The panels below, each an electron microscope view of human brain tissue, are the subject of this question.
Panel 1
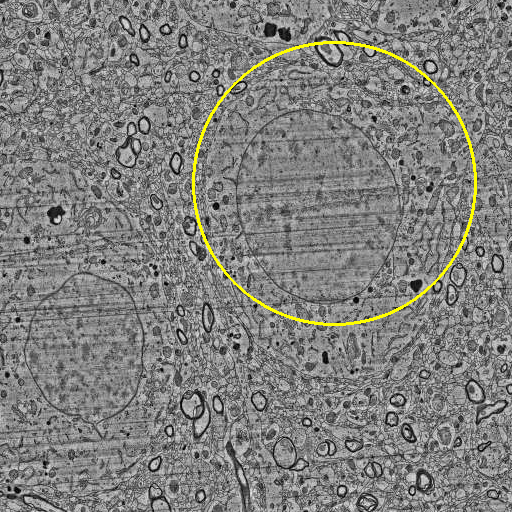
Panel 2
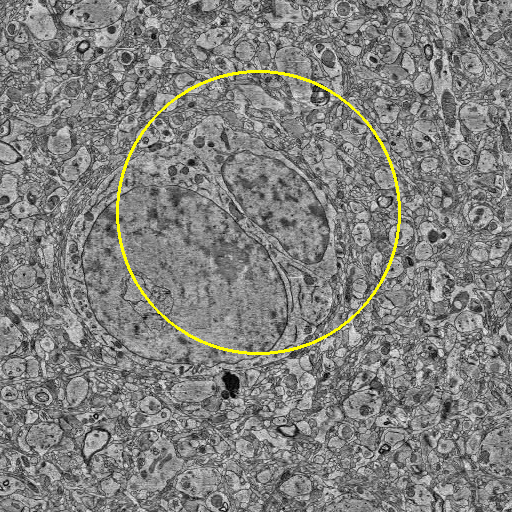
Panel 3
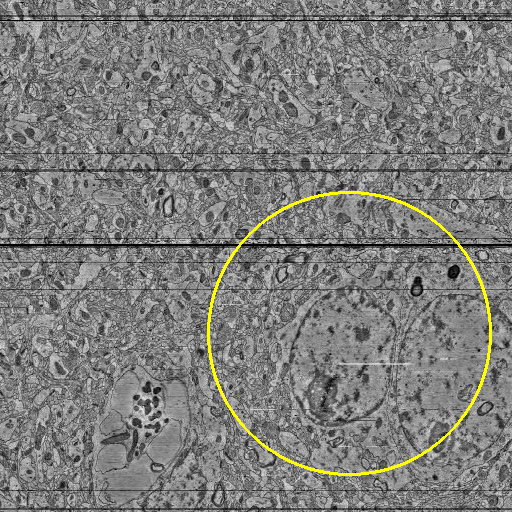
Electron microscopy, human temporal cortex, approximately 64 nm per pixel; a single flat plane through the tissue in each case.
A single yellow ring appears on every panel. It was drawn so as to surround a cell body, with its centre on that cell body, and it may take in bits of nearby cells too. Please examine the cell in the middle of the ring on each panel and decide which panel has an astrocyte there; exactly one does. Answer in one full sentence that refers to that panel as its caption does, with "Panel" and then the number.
Panel 3 is where the ring's central cell answers the question.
